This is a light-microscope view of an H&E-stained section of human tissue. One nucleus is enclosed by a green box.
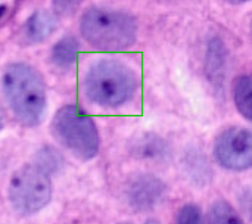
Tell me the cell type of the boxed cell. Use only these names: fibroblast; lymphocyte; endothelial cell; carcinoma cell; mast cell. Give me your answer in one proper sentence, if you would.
By cell type, the boxed cell is a carcinoma cell.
